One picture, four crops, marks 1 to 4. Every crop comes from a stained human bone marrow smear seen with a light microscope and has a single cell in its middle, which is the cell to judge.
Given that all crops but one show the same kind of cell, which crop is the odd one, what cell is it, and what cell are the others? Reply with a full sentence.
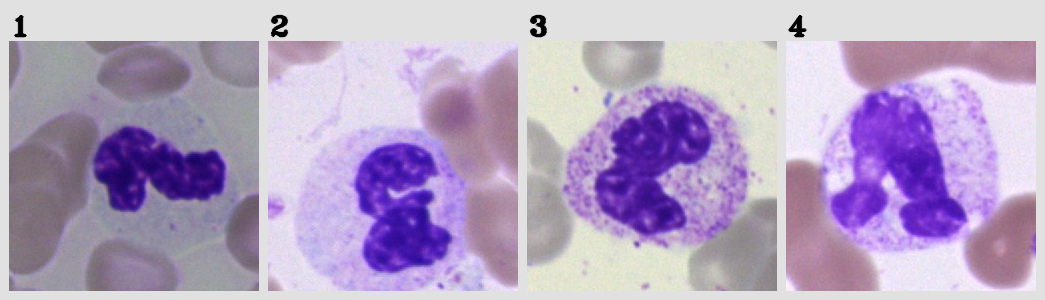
Where the others show segmented neutrophils, crop 3 shows a band neutrophil.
